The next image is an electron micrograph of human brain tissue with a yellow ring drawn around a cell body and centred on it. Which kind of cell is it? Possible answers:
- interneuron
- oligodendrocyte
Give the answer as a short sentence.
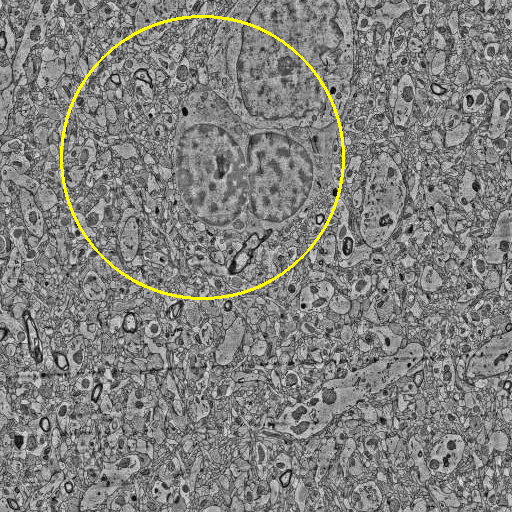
In the ring's centre is an oligodendrocyte.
